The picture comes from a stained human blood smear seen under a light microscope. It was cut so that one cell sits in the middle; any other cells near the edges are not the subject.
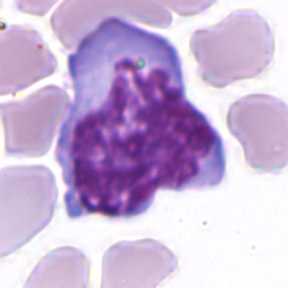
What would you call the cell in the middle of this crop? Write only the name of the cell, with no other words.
plasma cell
